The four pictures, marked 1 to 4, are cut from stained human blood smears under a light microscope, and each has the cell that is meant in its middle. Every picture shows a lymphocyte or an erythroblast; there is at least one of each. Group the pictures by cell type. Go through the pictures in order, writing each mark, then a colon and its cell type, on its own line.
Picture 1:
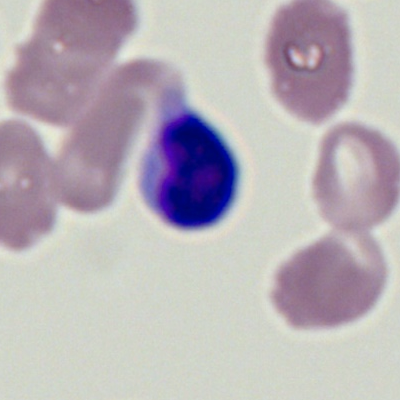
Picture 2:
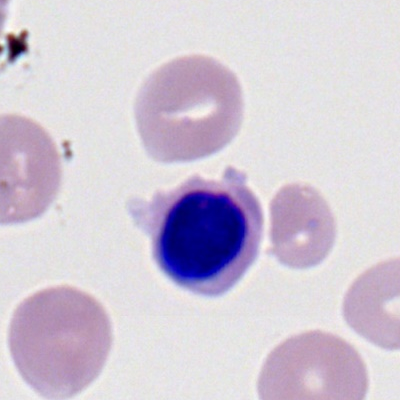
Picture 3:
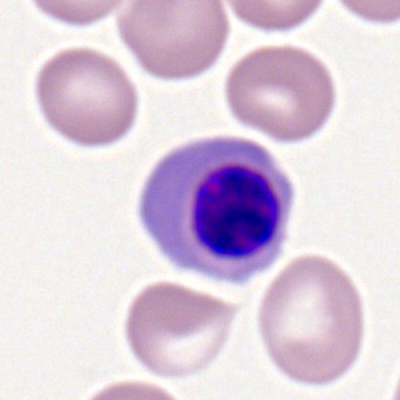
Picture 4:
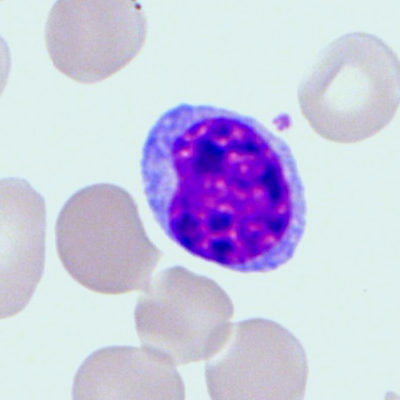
1: lymphocyte
2: erythroblast
3: erythroblast
4: lymphocyte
